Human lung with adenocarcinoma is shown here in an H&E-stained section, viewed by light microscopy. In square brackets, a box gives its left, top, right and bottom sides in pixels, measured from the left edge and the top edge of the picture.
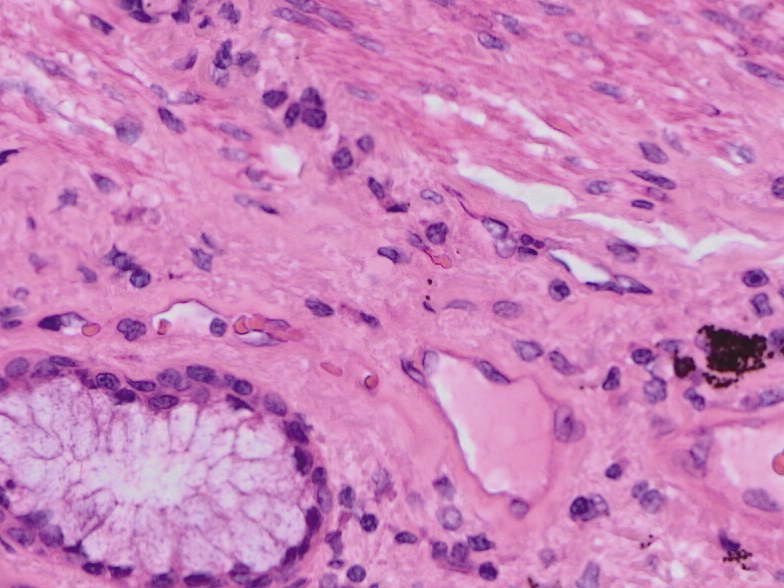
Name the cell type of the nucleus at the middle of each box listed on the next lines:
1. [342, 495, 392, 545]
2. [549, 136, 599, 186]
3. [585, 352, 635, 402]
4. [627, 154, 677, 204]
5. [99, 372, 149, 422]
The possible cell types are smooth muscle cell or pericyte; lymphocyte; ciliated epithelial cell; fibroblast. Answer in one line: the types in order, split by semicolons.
lymphocyte; smooth muscle cell or pericyte; lymphocyte; fibroblast; ciliated epithelial cell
